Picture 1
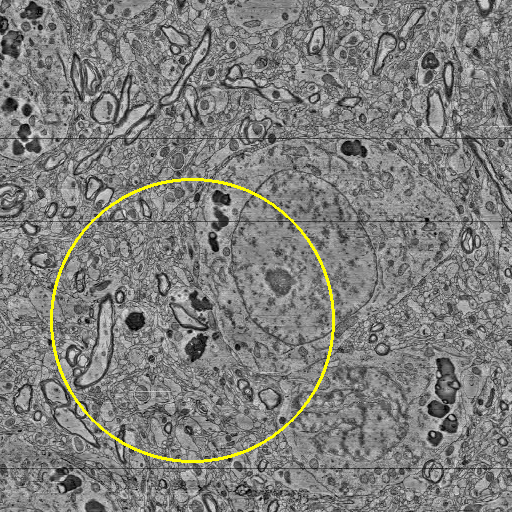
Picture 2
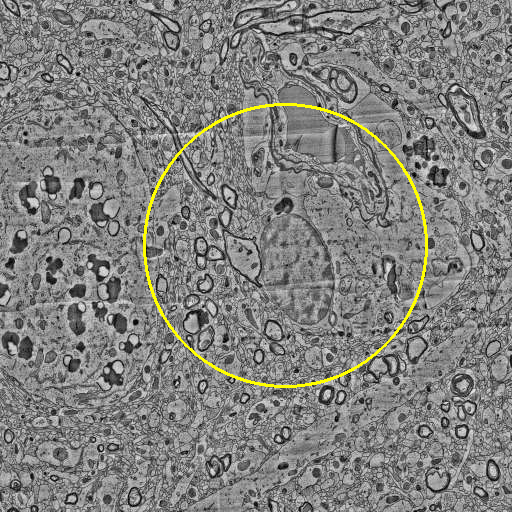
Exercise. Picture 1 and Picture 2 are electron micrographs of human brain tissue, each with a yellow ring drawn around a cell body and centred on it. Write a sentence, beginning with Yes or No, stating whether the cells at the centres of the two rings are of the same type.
Yes, the cells at the centres of both rings are of the same type.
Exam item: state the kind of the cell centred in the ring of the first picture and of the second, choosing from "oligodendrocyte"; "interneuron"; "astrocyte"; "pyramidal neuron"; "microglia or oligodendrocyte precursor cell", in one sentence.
In both pictures the ring is centred on an oligodendrocyte.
